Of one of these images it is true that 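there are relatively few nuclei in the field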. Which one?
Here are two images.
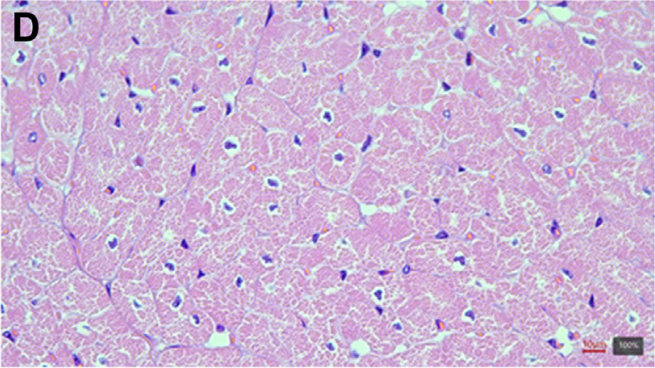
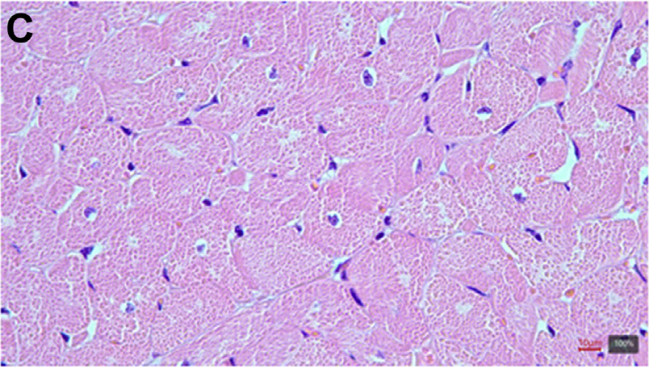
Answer: the second image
